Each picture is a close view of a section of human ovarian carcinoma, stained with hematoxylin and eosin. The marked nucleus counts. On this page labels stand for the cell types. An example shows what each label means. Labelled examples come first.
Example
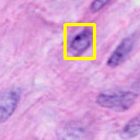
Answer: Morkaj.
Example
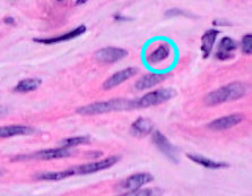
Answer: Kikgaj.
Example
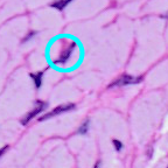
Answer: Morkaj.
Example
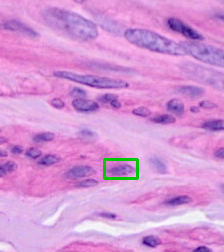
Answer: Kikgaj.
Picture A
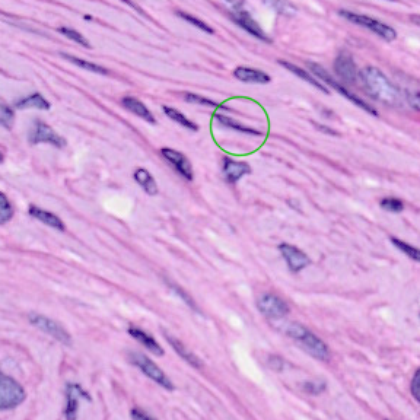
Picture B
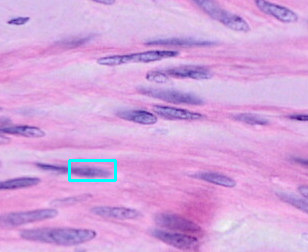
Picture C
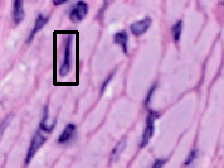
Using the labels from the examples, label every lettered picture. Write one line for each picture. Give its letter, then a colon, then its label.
A: Morkaj.
B: Kikgaj.
C: Morkaj.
